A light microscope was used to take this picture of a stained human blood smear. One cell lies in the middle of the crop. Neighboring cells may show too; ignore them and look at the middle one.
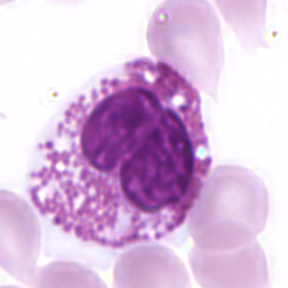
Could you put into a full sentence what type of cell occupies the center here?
The cell occupying the middle of the crop is an eosinophil.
